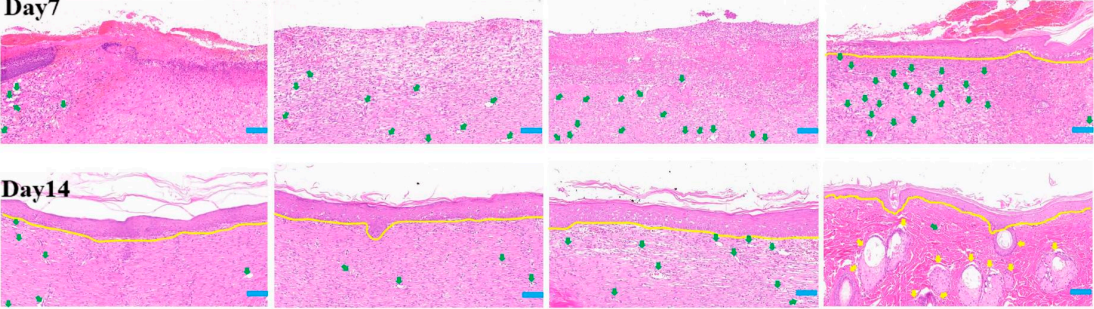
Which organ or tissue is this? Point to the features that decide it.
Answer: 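Regenerated skin tissues. Round follicle-like structures sit in the connective tissue in one of the lower images.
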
